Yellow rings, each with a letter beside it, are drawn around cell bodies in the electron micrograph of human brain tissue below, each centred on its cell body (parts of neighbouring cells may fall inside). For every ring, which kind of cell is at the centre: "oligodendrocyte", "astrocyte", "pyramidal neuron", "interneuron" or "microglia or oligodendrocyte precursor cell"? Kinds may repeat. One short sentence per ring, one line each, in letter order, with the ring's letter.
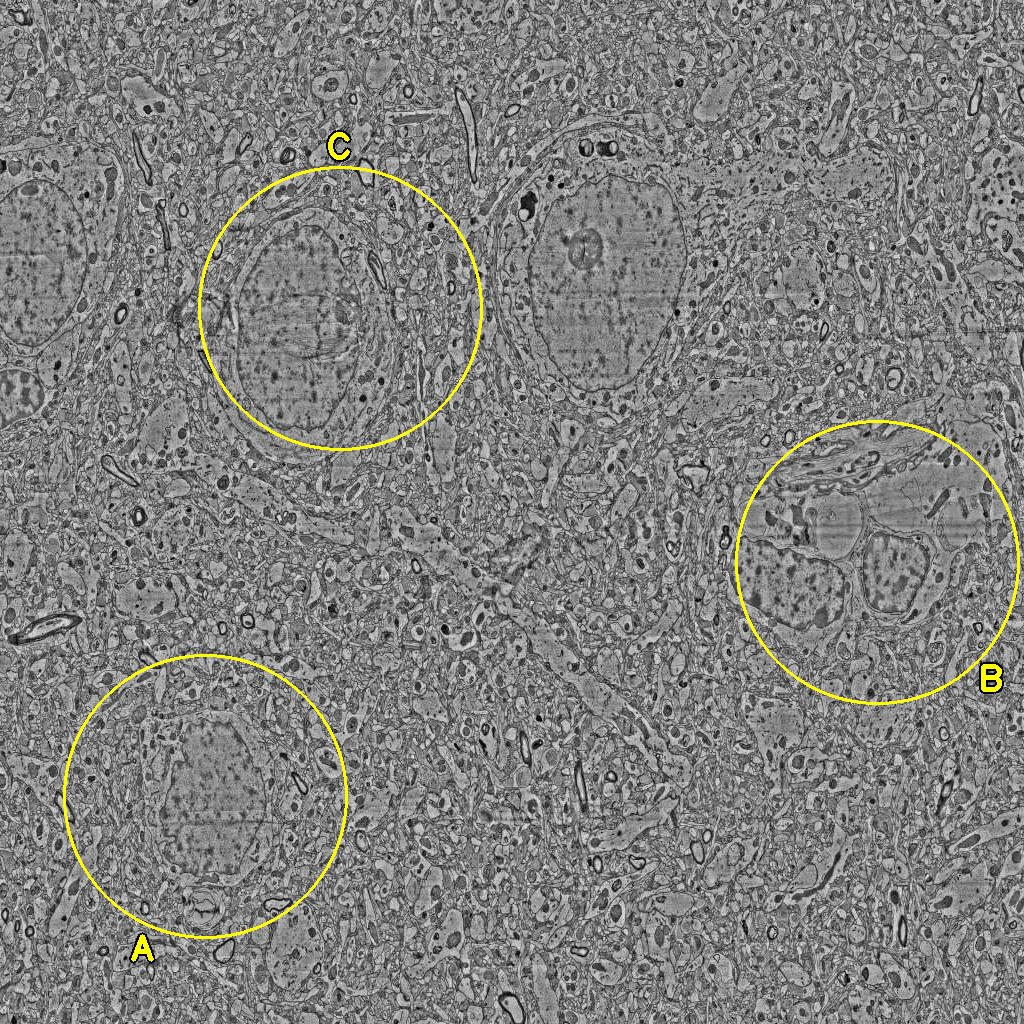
The cell in ring A is an interneuron.
The cell in ring B is a microglial cell or oligodendrocyte precursor cell.
The cell in ring C is an interneuron.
